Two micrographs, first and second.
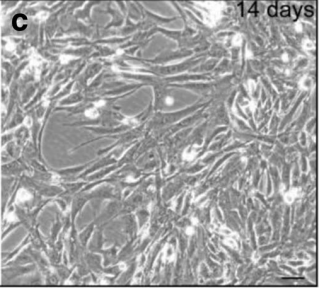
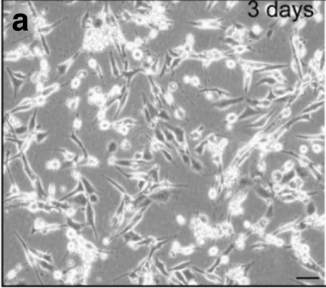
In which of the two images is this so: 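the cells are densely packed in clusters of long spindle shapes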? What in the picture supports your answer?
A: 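First image: elongated spindle cells crowd the surface in aligned bundles. Second image: cells are sparse, with many small rounded bright cells among short spread ones.
Hence: the first image.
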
